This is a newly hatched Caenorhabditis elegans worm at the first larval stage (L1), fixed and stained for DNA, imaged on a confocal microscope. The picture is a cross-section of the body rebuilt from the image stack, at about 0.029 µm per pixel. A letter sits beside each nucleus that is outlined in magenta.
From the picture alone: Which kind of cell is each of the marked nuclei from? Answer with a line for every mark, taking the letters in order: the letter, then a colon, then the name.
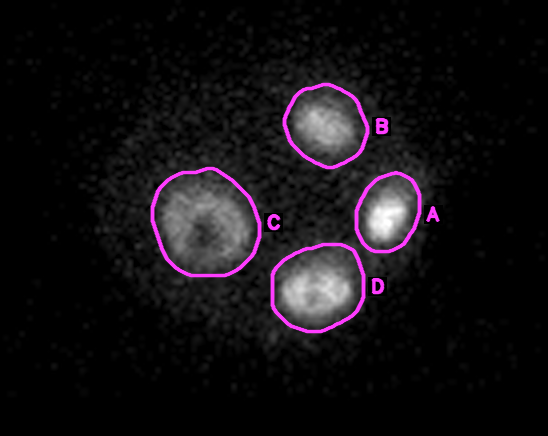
A: neuron
B: P cell (ventral epidermal blast cell)
C: intestinal cell
D: P cell (ventral epidermal blast cell)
